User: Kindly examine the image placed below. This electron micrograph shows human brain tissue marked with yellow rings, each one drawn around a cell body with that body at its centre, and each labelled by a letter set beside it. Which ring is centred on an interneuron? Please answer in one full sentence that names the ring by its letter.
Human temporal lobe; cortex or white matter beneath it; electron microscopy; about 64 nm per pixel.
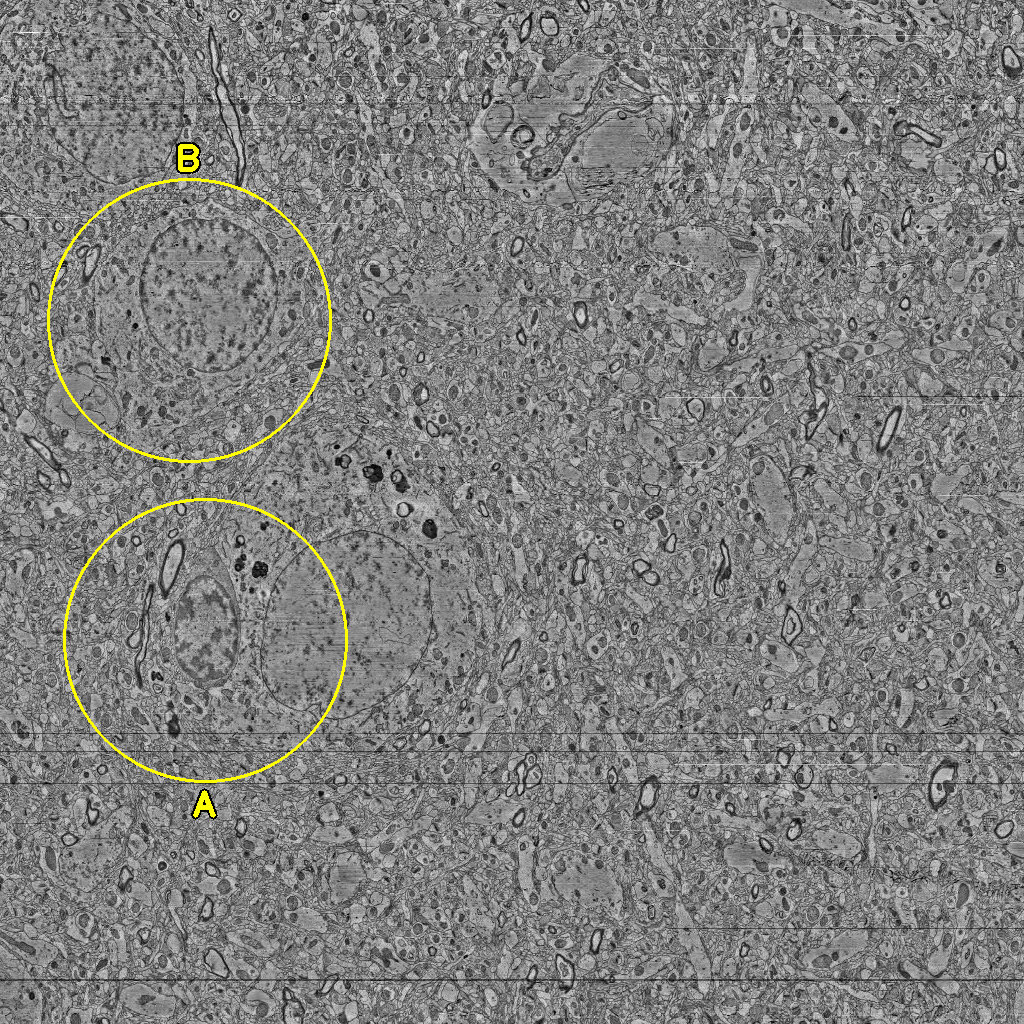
Ring B is the one drawn around the cell asked for.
